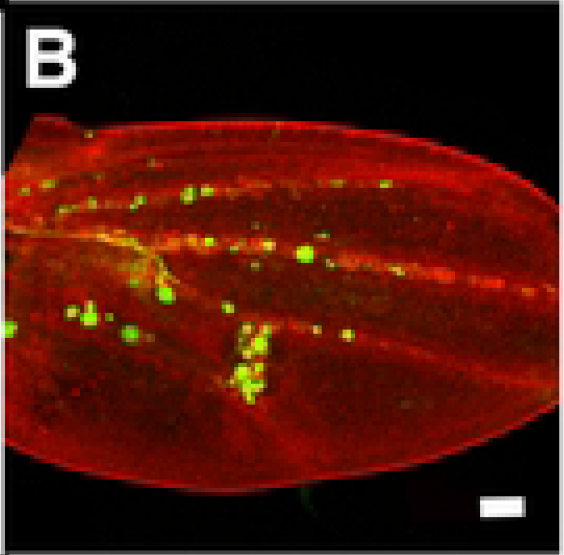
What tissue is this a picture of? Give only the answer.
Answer: pupal wings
